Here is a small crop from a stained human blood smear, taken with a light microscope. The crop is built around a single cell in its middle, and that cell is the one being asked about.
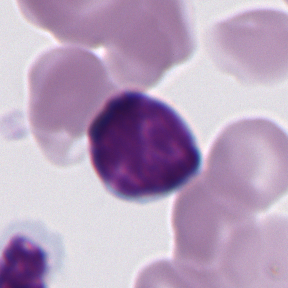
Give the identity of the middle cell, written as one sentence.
Here the centrally located cell is a typical lymphocyte.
